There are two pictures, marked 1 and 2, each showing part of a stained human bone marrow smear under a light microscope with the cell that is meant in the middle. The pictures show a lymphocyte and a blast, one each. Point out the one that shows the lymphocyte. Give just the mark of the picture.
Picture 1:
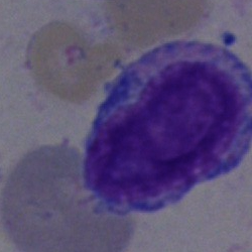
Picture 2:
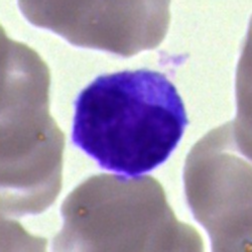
2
